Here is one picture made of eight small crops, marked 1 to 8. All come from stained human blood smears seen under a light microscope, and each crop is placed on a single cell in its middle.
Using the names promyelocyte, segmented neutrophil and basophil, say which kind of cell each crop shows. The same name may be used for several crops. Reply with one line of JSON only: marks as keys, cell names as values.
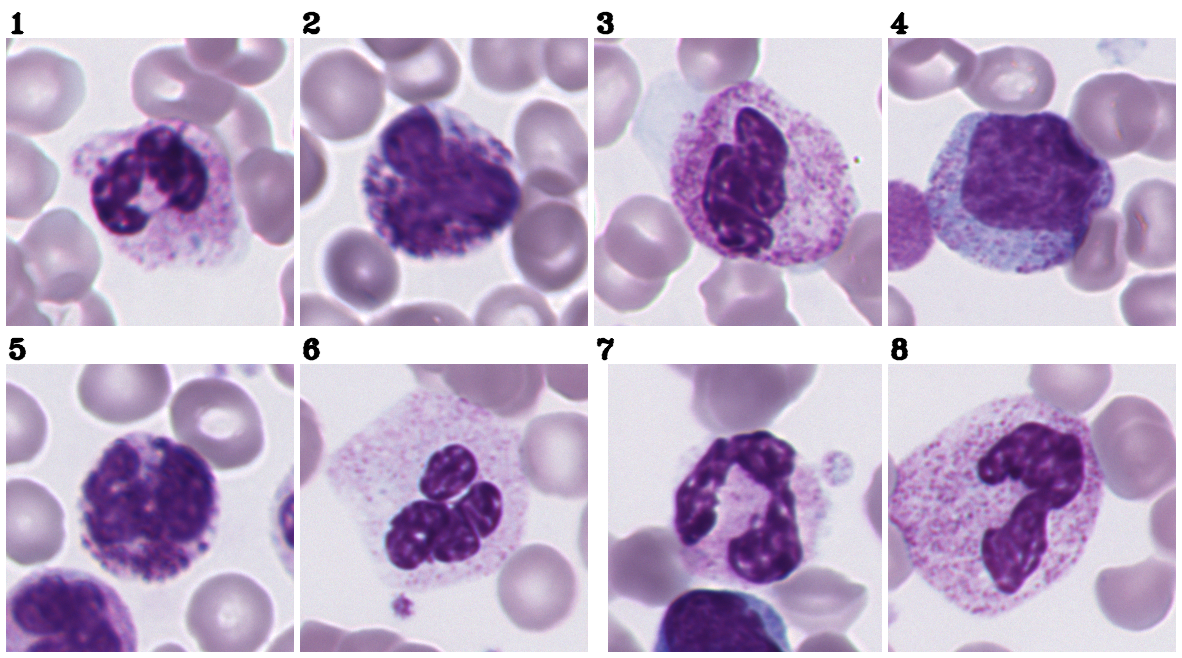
{"1": "segmented neutrophil", "2": "basophil", "3": "segmented neutrophil", "4": "promyelocyte", "5": "basophil", "6": "segmented neutrophil", "7": "segmented neutrophil", "8": "segmented neutrophil"}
